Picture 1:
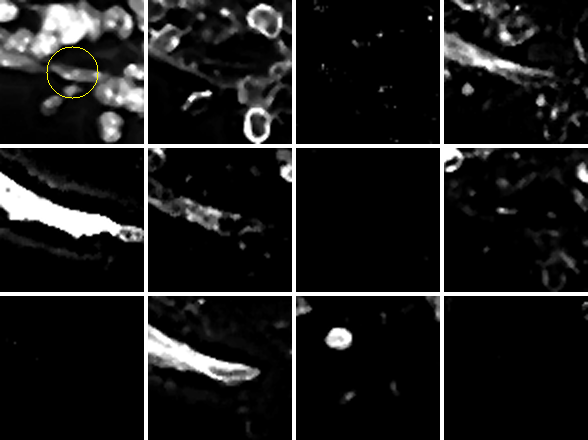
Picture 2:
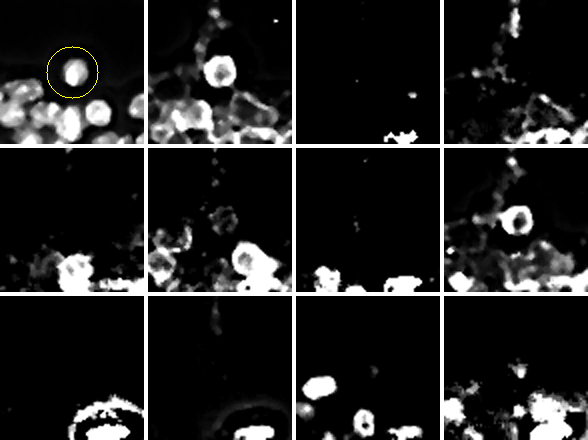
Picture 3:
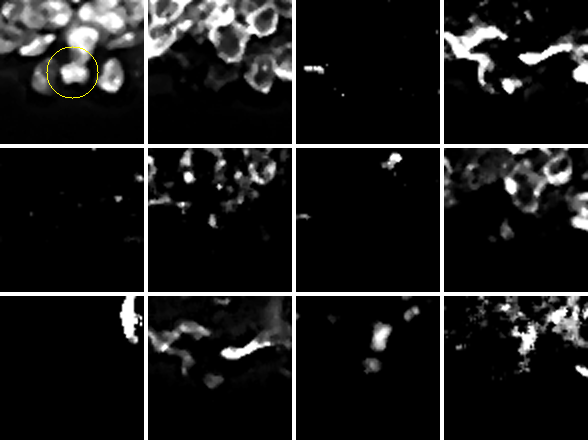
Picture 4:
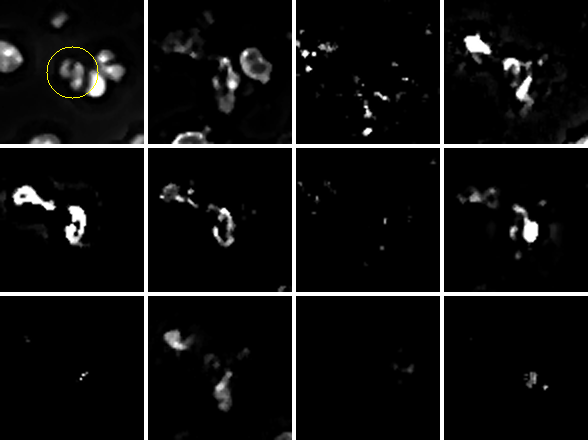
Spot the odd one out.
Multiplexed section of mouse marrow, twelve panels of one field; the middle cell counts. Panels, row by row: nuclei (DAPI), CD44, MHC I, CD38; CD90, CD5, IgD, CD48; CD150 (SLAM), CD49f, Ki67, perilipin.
Picture 2 (a monocyte among capillary endothelial cells).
